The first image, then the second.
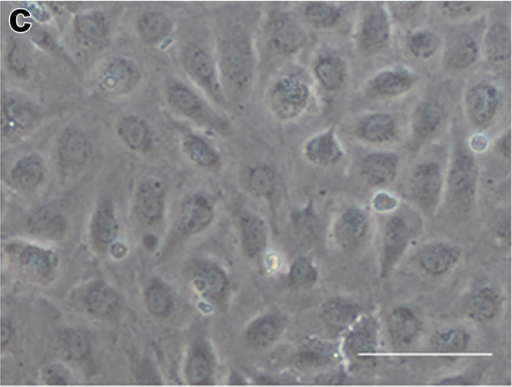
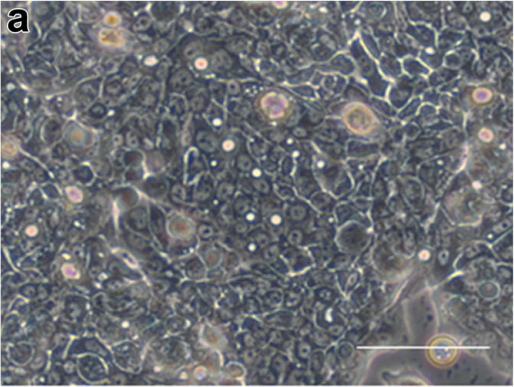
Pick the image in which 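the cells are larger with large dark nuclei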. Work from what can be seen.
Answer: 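First image: spread cells, each with a large dark rounded nucleus clearly visible. Second image: densely packed small cells with bright halos at their borders and small nuclei.
Answer: the first image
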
